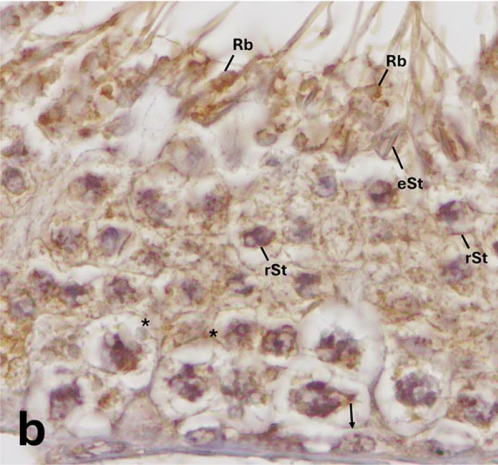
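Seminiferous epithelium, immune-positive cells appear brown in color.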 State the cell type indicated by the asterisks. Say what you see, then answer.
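The marked cells are large and round, in the lower part of the epithelium. Their nuclei hold coarse, clumped dark chromatin. A pale clear rim surrounds each marked cell. That points to this answer: spermatocytes.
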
